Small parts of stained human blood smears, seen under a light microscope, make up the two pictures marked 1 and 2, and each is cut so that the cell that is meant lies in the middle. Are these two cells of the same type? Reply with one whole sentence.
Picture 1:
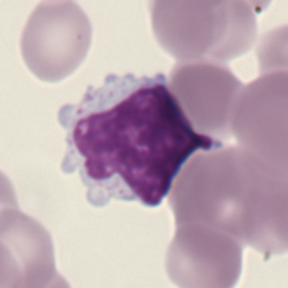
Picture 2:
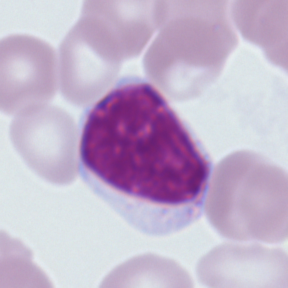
Yes, both are large granular lymphocytes.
